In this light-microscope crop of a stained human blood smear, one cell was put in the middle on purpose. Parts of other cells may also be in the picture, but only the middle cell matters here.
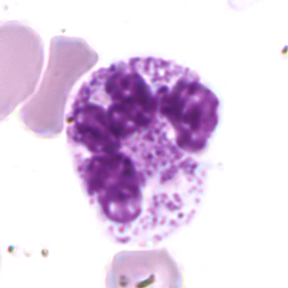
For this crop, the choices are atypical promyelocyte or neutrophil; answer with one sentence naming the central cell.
The cell in the middle of this crop is a neutrophil.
